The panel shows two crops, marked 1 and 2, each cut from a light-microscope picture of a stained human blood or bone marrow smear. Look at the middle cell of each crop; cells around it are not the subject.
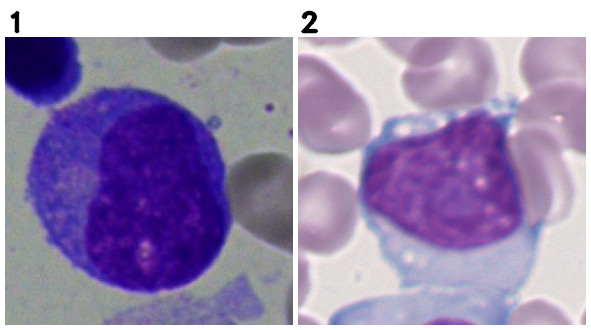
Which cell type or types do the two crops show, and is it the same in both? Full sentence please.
No, the cell centred in crop 1 is a promyelocyte, and that centred in crop 2 is a blast.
